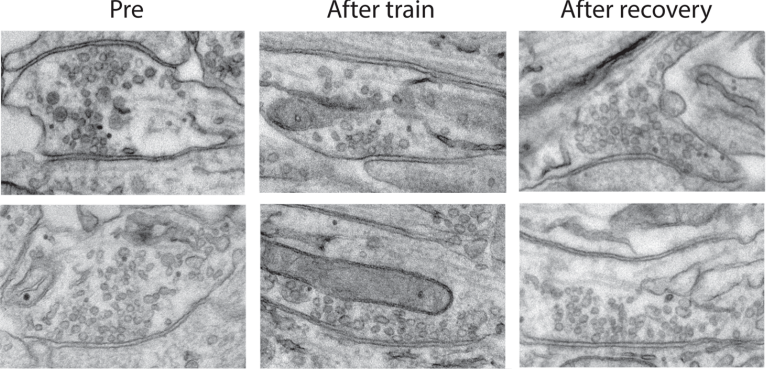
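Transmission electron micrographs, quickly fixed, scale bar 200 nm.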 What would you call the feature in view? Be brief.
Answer: presynaptic terminals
